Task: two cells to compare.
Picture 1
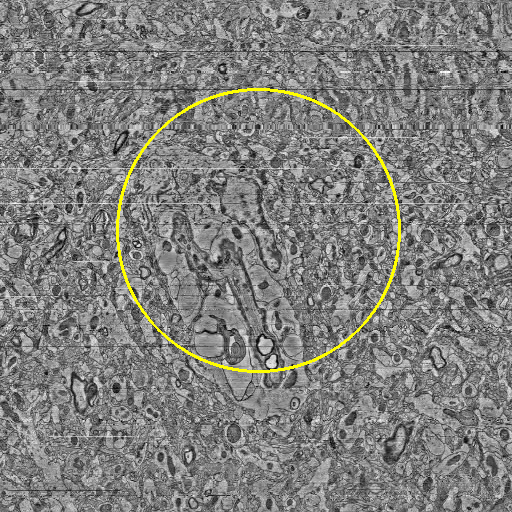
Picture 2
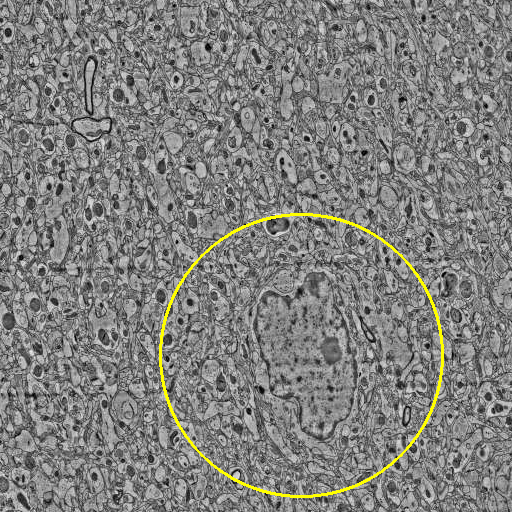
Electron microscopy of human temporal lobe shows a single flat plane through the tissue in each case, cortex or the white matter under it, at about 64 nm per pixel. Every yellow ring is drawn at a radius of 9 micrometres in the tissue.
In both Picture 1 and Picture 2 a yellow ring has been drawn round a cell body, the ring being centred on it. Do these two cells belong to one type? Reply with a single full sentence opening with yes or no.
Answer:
Yes, the two cells at the ring centres in Picture 1 and Picture 2 share one type.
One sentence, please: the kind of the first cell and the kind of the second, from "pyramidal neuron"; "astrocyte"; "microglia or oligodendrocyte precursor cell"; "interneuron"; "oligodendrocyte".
Both rings mark a microglial cell or oligodendrocyte precursor cell, one in each picture.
